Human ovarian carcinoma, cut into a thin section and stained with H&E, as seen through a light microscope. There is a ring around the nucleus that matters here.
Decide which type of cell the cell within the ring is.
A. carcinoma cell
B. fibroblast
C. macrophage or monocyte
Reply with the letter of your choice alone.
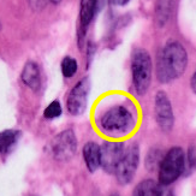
C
